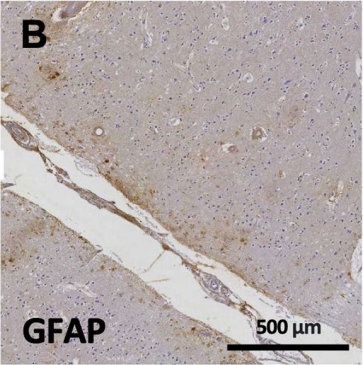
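The brown staining is strongest along the tissue edge that borders a diagonal empty cleft, forming a darker band there, and elsewhere appears as scattered patches and fine fibrous areas. Within the cleft lie strands of loose tissue with small vessels cut across.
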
